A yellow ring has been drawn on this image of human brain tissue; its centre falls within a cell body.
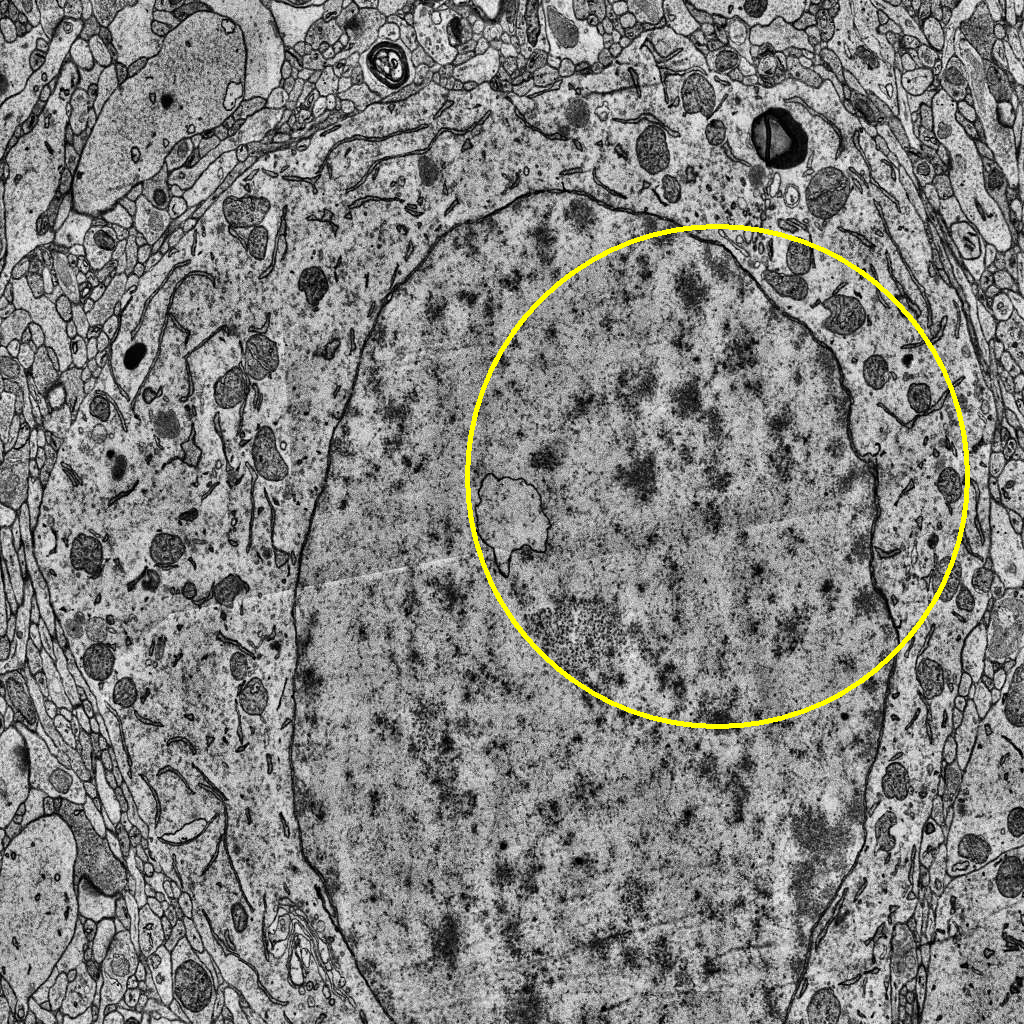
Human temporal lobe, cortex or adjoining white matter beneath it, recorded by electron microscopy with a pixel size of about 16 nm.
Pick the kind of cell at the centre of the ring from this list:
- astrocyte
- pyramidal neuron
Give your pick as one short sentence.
The centre of the ring holds a pyramidal neuron.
